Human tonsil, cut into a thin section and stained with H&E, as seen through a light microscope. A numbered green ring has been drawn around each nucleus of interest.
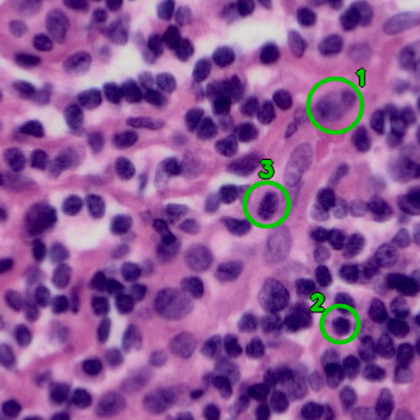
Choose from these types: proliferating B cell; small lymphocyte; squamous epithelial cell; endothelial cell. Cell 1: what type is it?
endothelial cell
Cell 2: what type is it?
small lymphocyte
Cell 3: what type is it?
endothelial cell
